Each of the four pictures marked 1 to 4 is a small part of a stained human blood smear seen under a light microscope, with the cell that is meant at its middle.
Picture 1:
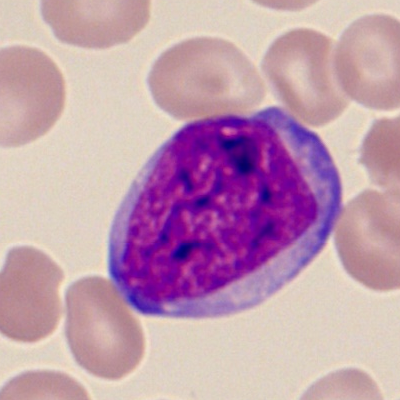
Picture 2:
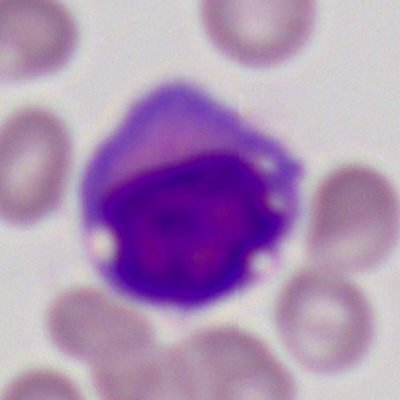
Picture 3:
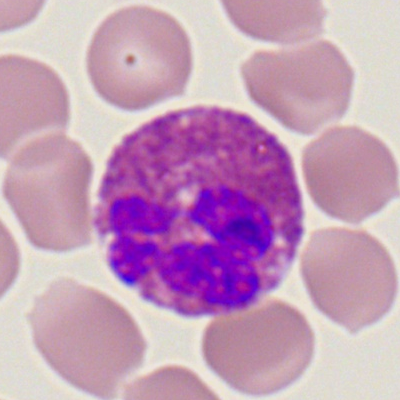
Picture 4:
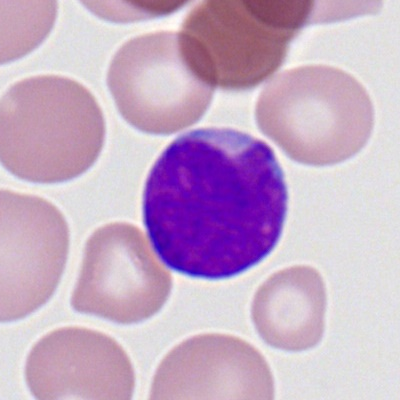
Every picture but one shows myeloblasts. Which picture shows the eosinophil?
3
